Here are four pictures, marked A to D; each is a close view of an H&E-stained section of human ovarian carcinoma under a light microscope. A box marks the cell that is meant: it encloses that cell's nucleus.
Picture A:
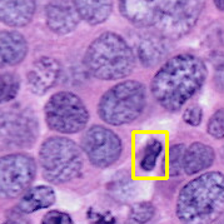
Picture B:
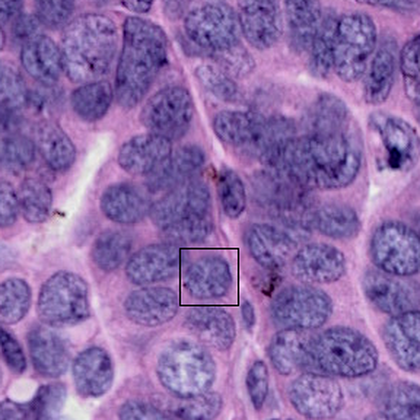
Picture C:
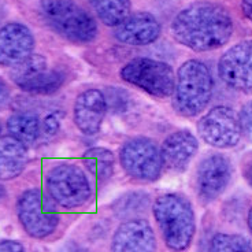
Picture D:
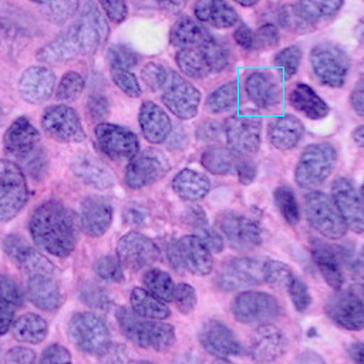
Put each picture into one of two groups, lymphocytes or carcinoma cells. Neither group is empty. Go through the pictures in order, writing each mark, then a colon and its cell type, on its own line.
A: lymphocyte
B: carcinoma cell
C: carcinoma cell
D: carcinoma cell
